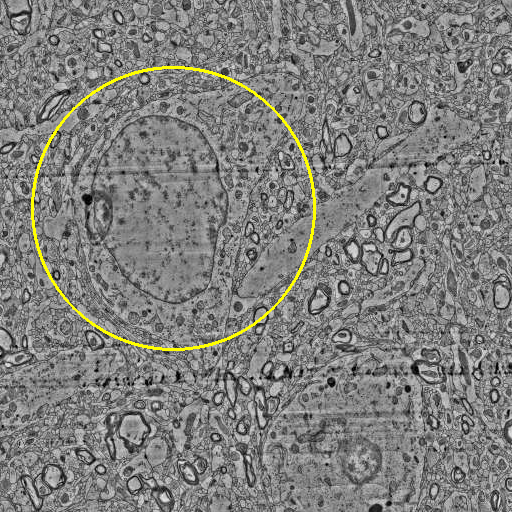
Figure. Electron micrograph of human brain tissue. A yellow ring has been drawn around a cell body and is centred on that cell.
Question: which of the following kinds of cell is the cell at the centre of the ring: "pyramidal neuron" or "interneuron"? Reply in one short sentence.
The cell at the centre of the ring is a pyramidal neuron.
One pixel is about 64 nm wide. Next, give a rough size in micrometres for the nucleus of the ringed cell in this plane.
The nucleus appears roughly 12 by 9 micrometres in this plane.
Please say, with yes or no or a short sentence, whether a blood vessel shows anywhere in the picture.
No.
